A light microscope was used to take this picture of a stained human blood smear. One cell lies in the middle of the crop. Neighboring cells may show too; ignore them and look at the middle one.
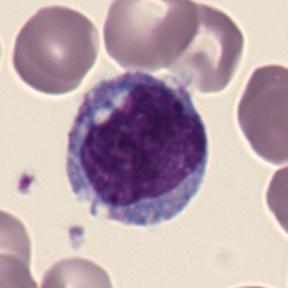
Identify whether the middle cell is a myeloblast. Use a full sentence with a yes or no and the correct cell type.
No, the centre cell is not a myeloblast but a monocyte.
